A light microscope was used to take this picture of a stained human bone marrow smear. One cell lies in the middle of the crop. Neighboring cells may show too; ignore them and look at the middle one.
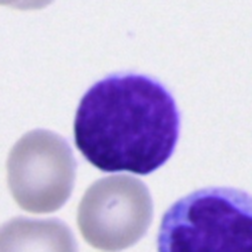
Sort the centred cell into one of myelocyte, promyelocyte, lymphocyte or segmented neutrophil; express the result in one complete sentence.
In the centre of this crop there is a lymphocyte.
